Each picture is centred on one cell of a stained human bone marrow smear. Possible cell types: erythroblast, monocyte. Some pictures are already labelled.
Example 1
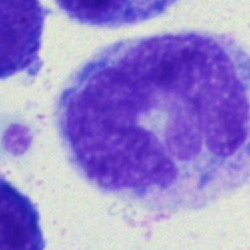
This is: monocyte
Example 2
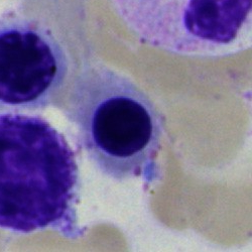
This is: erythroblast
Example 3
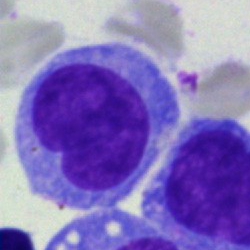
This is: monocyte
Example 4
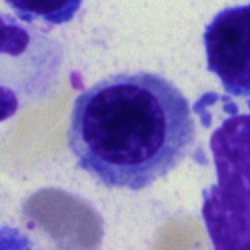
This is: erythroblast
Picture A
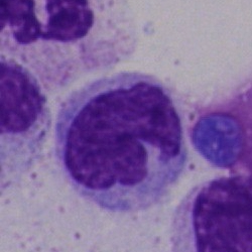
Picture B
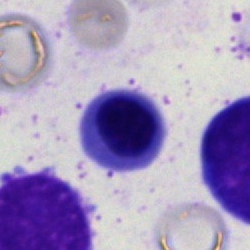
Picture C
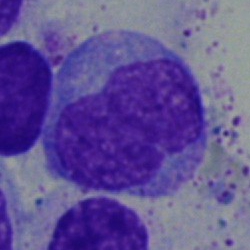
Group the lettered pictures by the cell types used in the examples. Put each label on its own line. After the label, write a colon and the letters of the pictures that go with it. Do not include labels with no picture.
erythroblast: B
monocyte: A, C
